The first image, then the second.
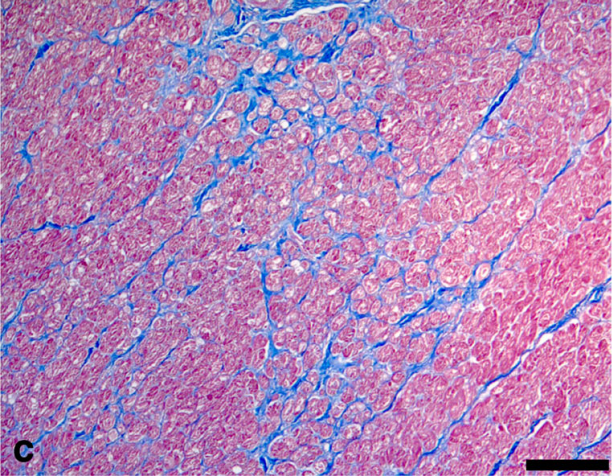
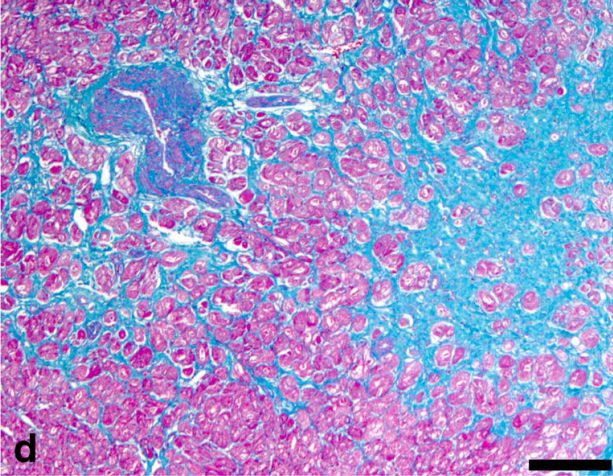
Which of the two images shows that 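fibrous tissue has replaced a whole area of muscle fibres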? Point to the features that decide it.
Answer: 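Second image: a broad blue-green patch in which only scattered muscle fibres remain. First image: blue strands run thinly between muscle fibres, which fill the field. That points to this answer: the second image.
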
